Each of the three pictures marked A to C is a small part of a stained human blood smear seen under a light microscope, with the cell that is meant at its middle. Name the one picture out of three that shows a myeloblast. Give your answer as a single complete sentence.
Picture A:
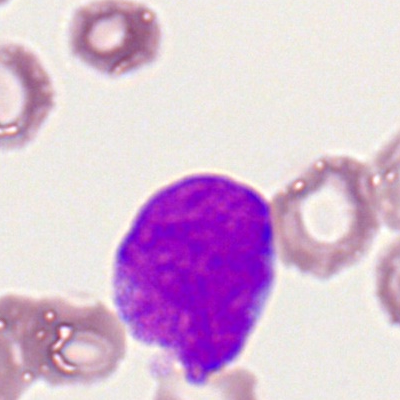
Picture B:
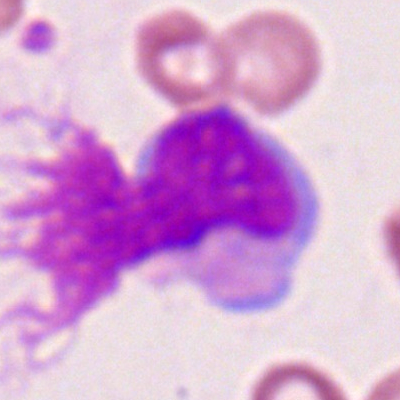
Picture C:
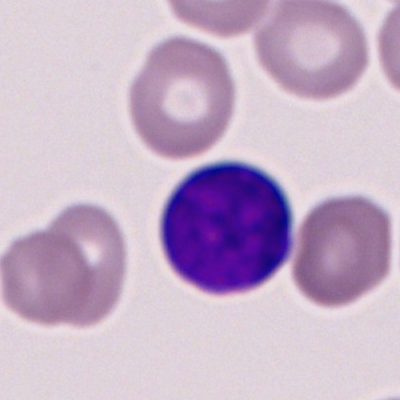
The picture with the myeloblast is A.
